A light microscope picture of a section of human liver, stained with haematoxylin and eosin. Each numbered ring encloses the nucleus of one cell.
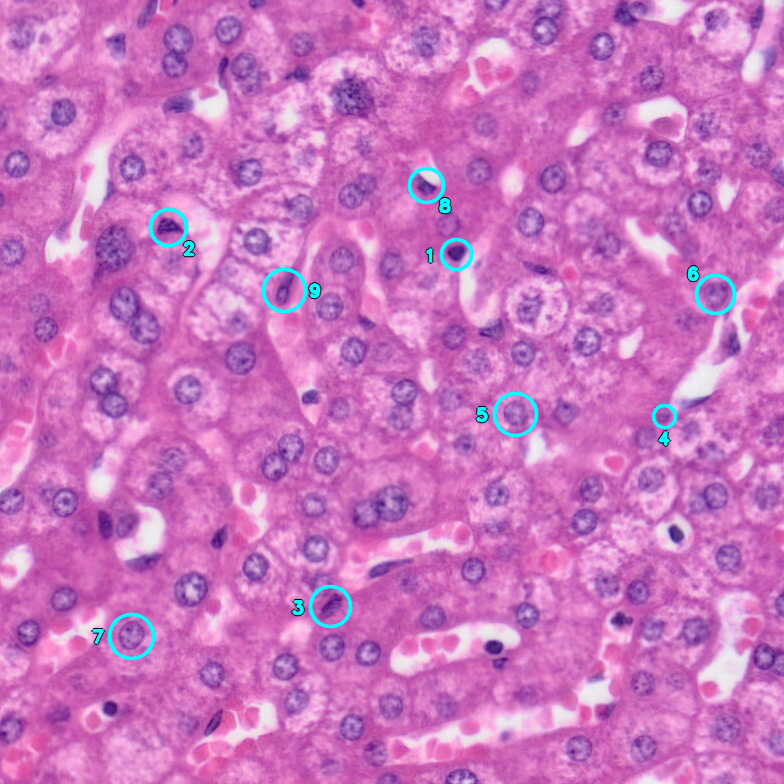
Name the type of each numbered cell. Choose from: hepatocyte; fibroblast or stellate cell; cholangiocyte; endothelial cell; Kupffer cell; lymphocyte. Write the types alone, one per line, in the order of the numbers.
fibroblast or stellate cell
fibroblast or stellate cell
fibroblast or stellate cell
fibroblast or stellate cell
hepatocyte
hepatocyte
hepatocyte
endothelial cell
Kupffer cell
